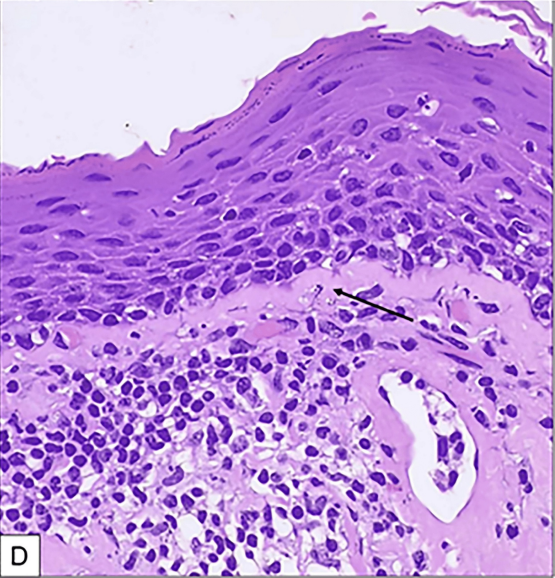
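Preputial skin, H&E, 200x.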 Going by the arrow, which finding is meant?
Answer: Thin band of homogenized papillary dermis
